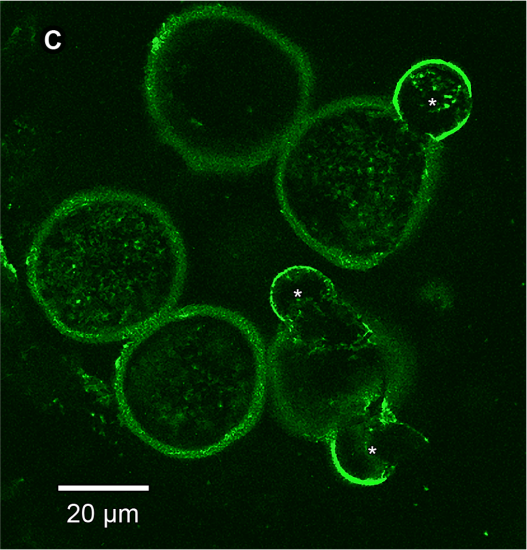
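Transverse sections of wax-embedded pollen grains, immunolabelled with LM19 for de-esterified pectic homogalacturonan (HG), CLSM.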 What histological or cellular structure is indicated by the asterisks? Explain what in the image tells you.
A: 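Protruding onci. Small rounded bodies with a bright green rim bulge from the grains. They sit at the edge of larger round grains.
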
